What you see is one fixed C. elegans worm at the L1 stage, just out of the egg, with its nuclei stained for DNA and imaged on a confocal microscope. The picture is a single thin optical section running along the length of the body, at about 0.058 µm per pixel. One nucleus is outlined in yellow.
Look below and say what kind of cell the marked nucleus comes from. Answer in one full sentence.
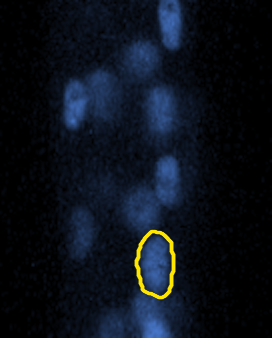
This is the nucleus of an enteric muscle cell.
